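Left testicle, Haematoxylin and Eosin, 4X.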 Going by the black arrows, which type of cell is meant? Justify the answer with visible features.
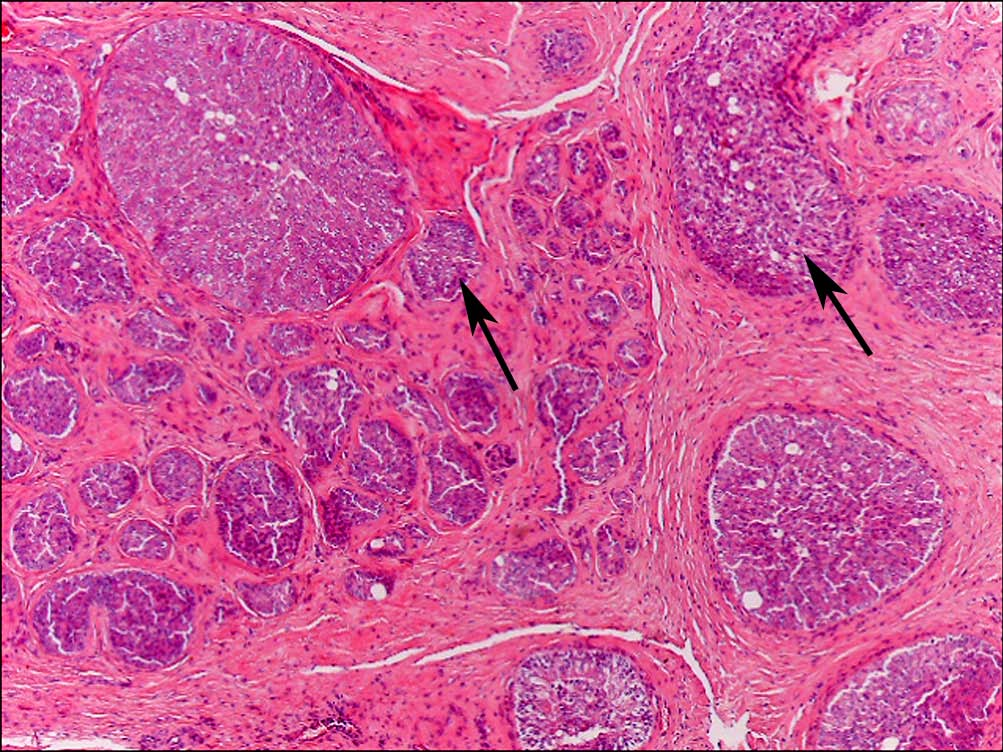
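The arrows point into rounded nests of densely packed cells inside tubule-like profiles. Small round clear spaces lie scattered among the cells the arrows point to. Cell borders within the nests are hard to make out.
Answer: sustentacular neoplastic cells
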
